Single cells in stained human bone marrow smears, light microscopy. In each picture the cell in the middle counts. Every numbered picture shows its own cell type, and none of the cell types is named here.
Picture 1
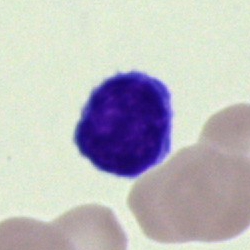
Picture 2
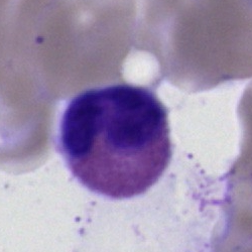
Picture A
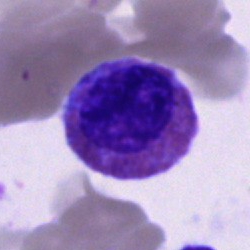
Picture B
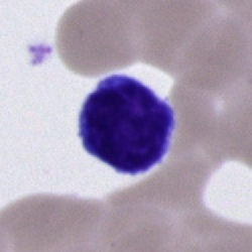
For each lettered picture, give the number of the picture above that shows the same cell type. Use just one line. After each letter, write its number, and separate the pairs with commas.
A 2, B 1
